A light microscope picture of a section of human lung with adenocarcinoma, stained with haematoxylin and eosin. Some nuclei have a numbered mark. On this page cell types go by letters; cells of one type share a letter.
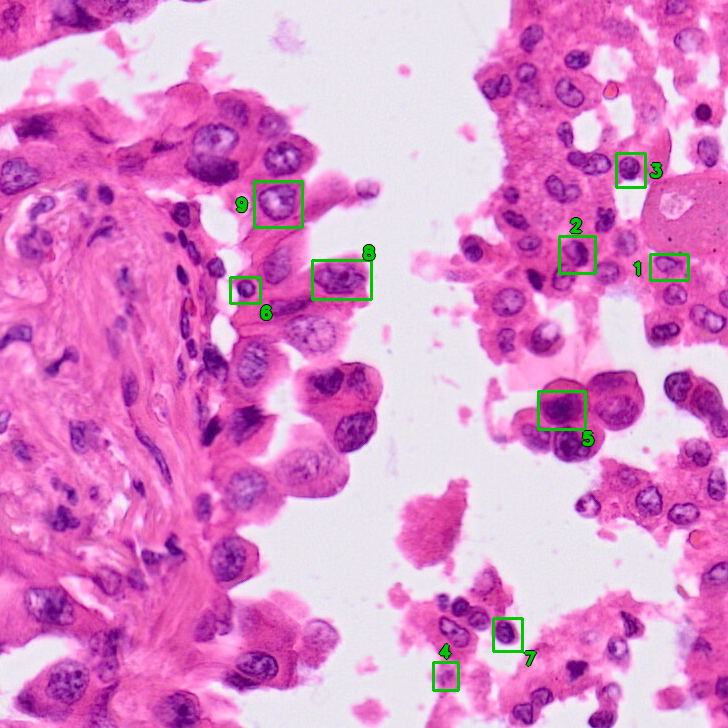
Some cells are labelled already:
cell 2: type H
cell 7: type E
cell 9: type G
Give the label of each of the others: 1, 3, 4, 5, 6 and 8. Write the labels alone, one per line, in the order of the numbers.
type H
type E
type H
type G
type E
type G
